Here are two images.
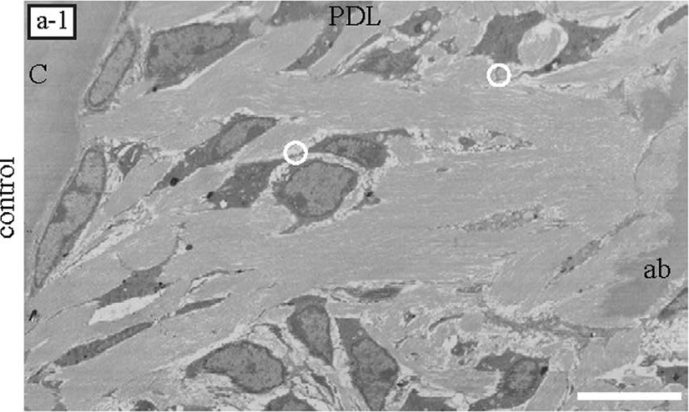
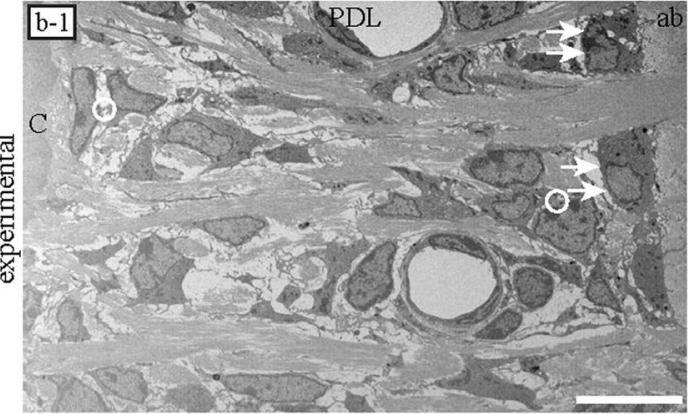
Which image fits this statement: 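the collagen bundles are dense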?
The first image.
